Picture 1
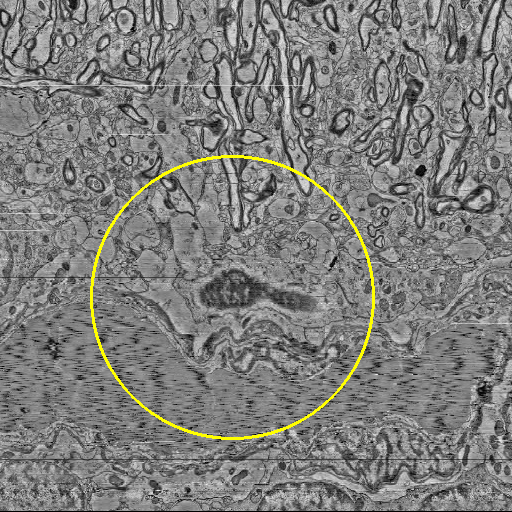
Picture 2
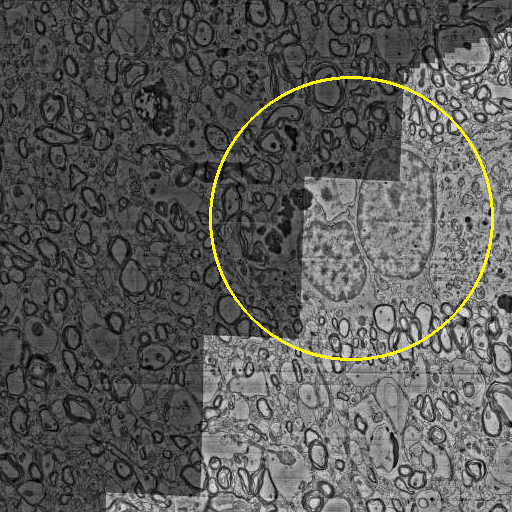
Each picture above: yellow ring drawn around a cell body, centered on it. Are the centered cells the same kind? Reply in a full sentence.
Yes, the two cells are the same kind.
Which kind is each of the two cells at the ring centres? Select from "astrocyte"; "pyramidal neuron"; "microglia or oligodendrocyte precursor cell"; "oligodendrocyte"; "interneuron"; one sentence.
Both rings mark a microglial cell or oligodendrocyte precursor cell, one in each picture.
